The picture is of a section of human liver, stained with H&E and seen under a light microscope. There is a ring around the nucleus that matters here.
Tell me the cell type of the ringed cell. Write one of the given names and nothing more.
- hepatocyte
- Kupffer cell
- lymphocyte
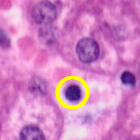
lymphocyte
